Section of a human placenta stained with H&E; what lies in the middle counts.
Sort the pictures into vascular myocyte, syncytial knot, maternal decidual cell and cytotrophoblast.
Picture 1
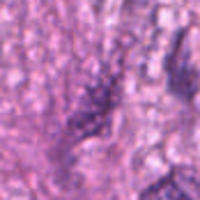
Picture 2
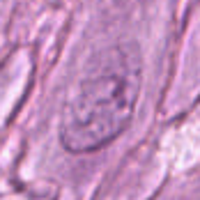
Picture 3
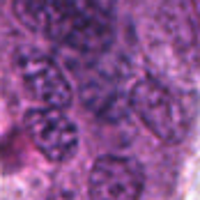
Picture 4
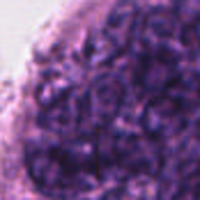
Vascular myocytes: 1
Maternal decidual cells: 2
Cytotrophoblasts: 3
Syncytial knots: 4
